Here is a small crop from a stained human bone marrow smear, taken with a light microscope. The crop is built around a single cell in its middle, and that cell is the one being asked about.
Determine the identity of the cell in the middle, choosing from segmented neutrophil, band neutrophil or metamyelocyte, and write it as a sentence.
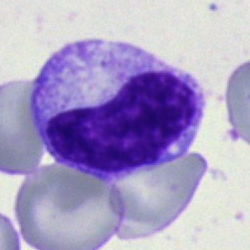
The centrally placed cell is classified as a metamyelocyte.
